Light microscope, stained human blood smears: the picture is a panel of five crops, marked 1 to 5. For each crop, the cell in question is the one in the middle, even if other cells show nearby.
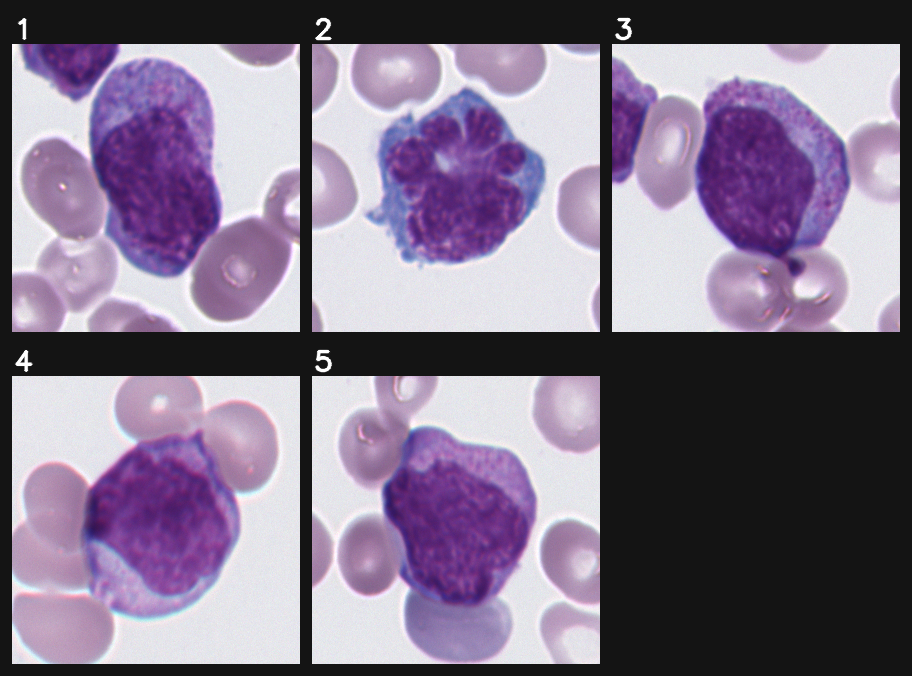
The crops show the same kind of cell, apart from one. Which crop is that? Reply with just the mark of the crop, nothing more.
2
